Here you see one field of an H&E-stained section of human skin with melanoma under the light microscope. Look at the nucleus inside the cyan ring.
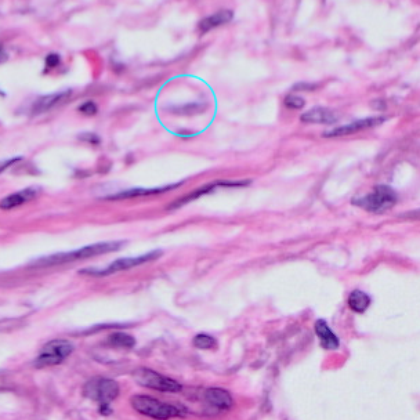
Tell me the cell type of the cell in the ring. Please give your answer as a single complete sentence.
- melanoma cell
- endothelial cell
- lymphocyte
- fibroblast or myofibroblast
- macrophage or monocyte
In this preparation, the cell in the ring is a fibroblast or myofibroblast.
